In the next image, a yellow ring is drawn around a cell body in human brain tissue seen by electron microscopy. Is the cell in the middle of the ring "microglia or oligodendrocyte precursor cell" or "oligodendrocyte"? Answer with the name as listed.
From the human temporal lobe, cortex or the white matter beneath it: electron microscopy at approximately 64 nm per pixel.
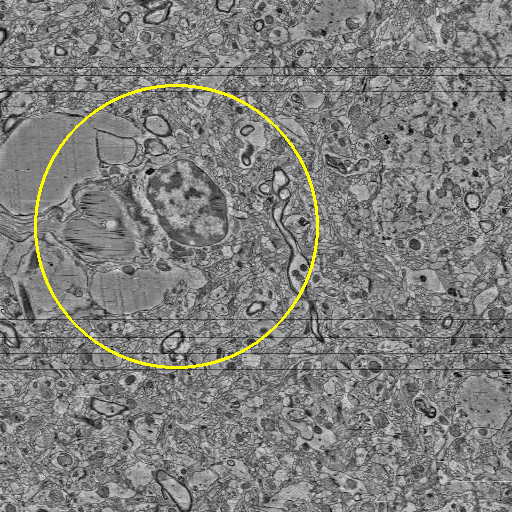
microglia or oligodendrocyte precursor cell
